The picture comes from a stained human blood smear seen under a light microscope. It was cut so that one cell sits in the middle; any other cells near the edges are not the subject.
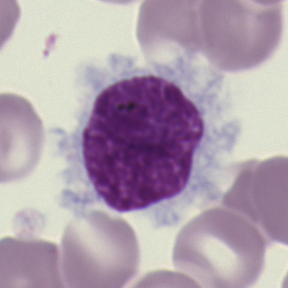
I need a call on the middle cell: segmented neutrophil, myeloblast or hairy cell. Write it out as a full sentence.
The cell of interest, located centrally, is a hairy cell.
